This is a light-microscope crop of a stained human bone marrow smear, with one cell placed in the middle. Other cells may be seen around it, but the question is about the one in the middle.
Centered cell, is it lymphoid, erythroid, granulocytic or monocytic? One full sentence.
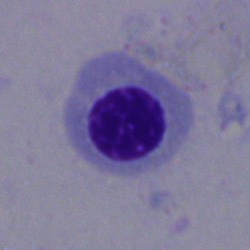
The cell at the center of the crop is assigned erythroid lineage.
